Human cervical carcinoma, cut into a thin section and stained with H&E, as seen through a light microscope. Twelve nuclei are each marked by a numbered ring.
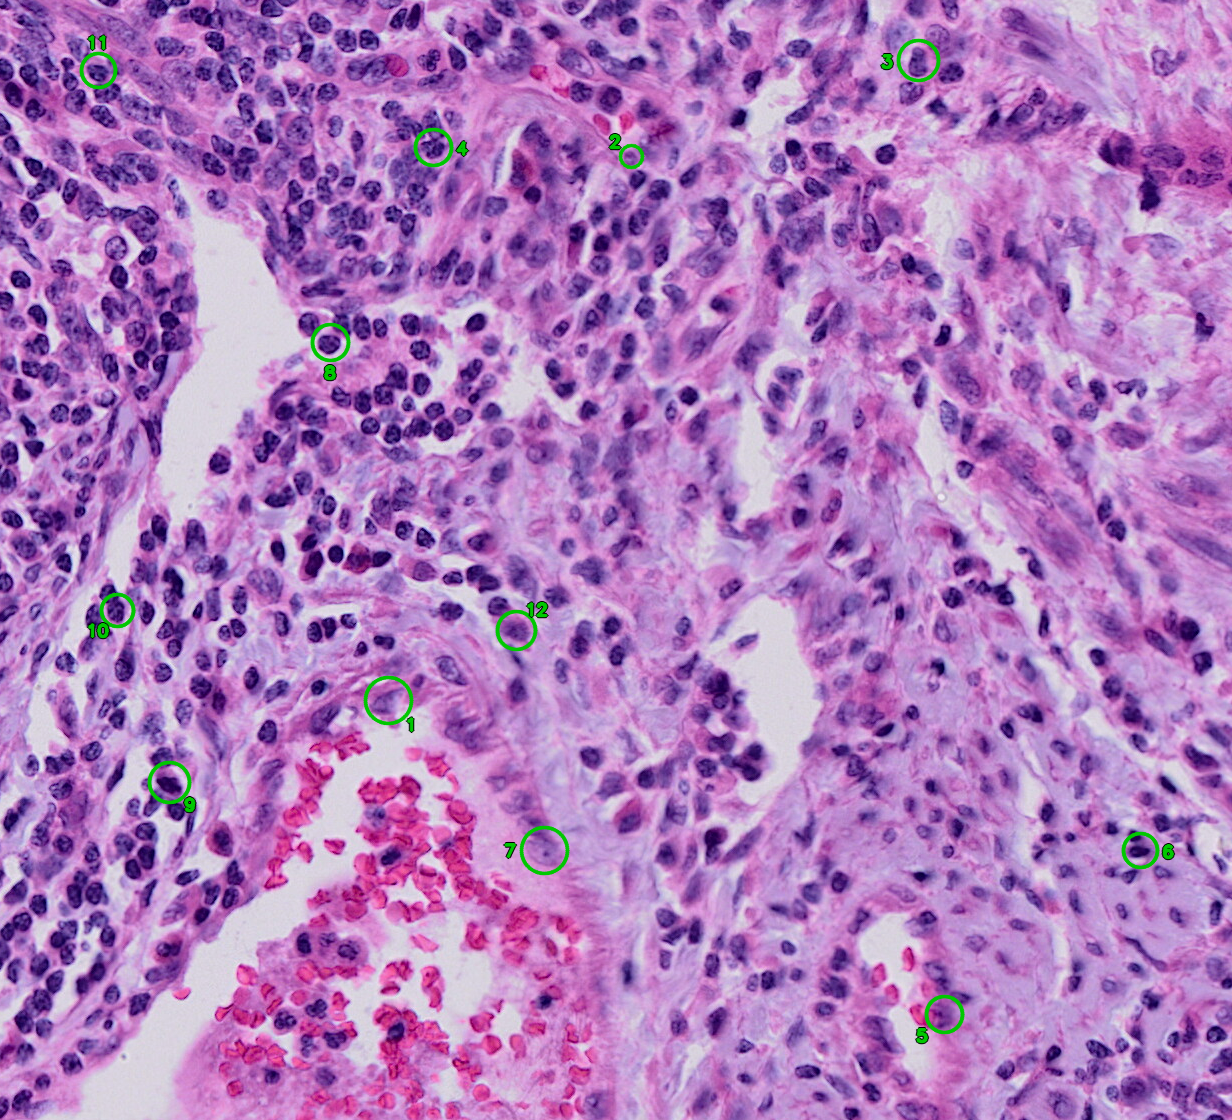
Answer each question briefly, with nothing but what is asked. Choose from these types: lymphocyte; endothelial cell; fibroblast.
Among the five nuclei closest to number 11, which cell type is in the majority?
lymphocyte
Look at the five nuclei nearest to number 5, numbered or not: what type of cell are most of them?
endothelial cell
